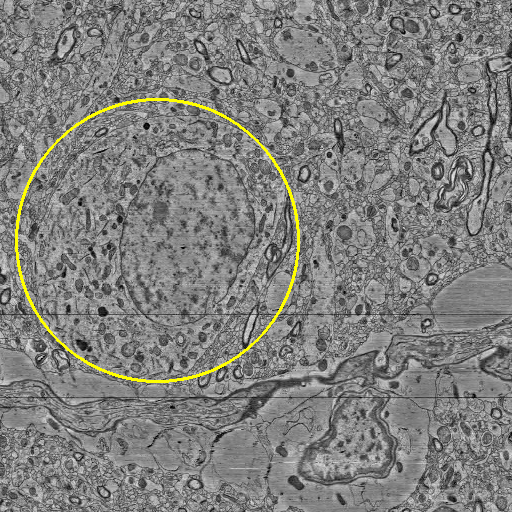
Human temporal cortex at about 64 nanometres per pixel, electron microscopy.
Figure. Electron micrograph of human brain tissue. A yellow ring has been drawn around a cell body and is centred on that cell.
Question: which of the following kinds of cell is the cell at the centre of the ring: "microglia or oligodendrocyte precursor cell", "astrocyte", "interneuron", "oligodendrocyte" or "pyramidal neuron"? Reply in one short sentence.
The cell at the centre of the ring is an interneuron.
